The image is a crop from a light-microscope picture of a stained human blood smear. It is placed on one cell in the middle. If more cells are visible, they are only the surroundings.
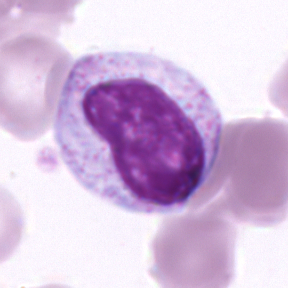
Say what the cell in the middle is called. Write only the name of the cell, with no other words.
myelocyte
